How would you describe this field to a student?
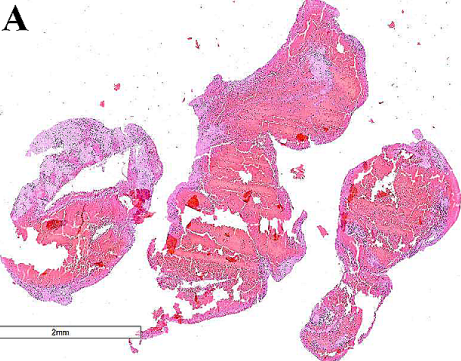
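These are several fragments of a thrombus seen at low power, made mostly of pale pink fibrin/platelet aggregates. The pink material has a faintly streaked, layered look and is cut through by clefts and gaps. Bright red pools of red blood cells are scattered through it, some as small islands inside the pink mass. Along the edges of the fragments the pink is speckled with fine purple dots. Small loose bits of the same material lie detached around the main pieces.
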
